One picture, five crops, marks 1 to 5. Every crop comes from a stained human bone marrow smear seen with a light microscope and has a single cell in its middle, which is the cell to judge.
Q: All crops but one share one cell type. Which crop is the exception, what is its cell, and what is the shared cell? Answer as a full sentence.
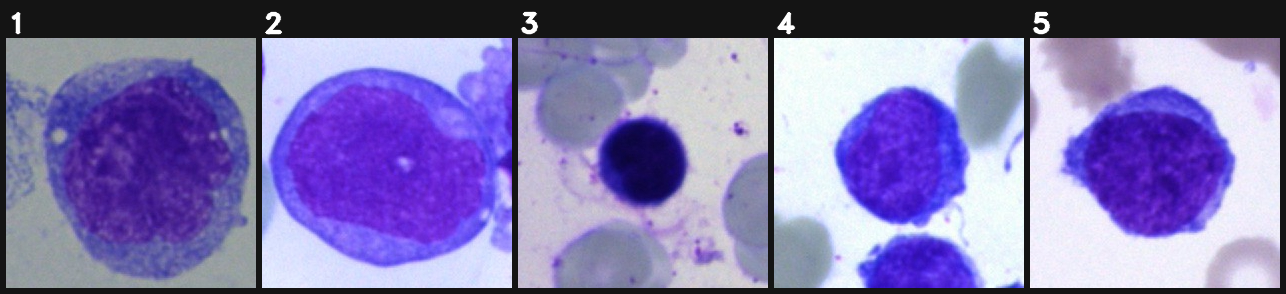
The single exception among the crops is crop 3, which is a lymphocyte; the rest show blasts.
